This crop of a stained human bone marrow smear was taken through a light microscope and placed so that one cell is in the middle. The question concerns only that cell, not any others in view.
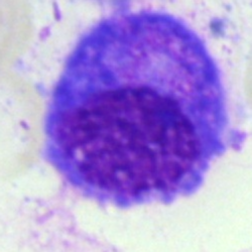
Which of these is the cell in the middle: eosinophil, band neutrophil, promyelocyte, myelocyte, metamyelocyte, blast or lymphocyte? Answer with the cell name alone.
promyelocyte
